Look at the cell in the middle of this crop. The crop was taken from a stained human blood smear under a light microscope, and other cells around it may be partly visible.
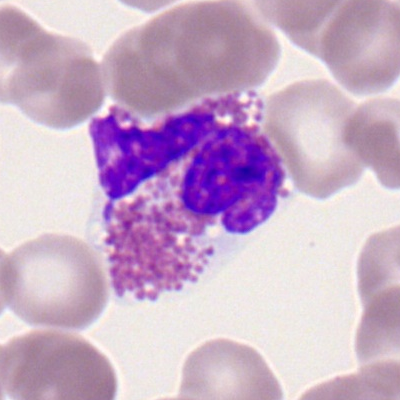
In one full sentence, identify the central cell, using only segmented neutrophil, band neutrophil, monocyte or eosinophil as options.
The cell featured at the centre of this crop is an eosinophil.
